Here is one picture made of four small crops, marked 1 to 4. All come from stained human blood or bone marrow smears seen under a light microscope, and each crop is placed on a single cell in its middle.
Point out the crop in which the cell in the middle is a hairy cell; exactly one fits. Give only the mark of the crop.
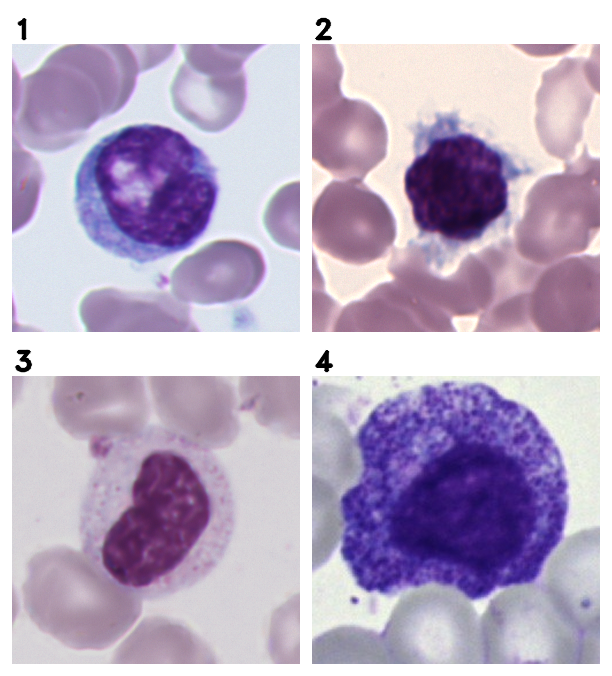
2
